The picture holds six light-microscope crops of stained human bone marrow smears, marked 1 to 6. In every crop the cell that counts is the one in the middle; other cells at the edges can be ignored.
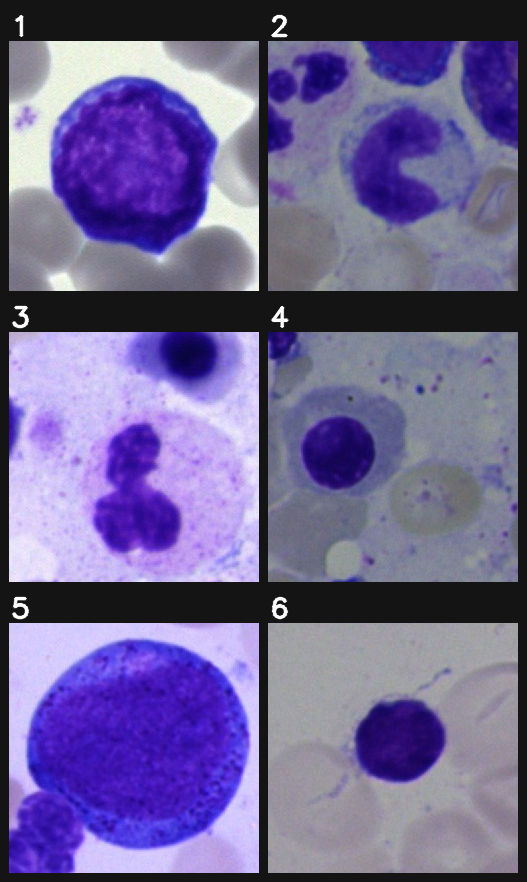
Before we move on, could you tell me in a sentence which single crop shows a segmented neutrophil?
Crop 3 is the crop that shows a segmented neutrophil in its middle.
